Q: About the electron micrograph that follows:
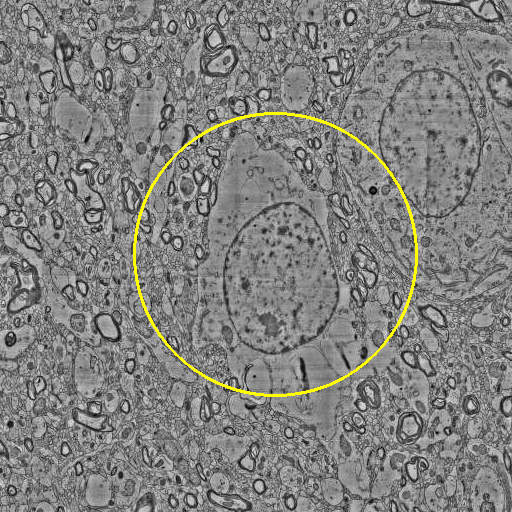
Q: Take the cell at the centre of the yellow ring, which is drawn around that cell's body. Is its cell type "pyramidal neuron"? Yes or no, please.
No, its type is another one.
